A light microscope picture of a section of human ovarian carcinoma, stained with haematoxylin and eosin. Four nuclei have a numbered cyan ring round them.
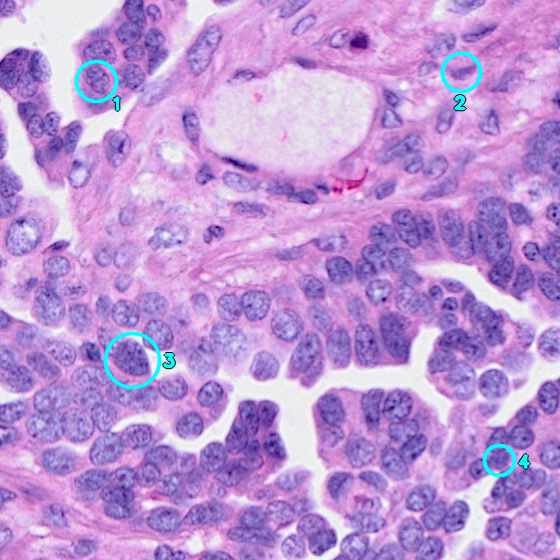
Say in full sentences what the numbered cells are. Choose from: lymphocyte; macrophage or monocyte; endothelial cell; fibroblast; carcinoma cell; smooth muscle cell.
Cell 1 is a carcinoma cell, cell 2 is a fibroblast, cell 3 is a carcinoma cell and cell 4 is a carcinoma cell.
